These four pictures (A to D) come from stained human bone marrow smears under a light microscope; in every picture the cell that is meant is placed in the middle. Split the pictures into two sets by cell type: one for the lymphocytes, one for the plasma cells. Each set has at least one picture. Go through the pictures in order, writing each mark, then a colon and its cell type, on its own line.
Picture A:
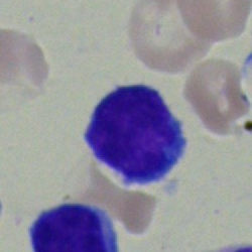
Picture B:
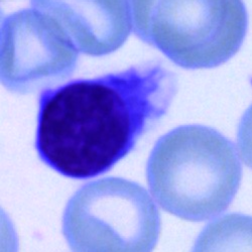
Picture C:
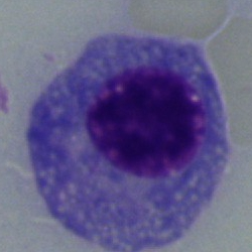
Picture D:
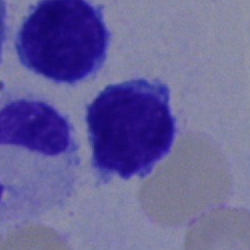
A: lymphocyte
B: lymphocyte
C: plasma cell
D: lymphocyte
